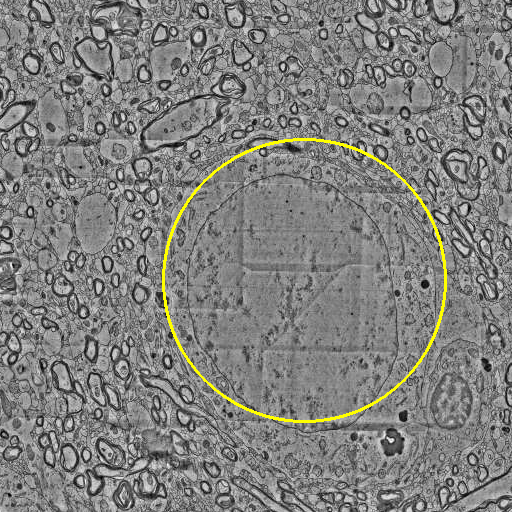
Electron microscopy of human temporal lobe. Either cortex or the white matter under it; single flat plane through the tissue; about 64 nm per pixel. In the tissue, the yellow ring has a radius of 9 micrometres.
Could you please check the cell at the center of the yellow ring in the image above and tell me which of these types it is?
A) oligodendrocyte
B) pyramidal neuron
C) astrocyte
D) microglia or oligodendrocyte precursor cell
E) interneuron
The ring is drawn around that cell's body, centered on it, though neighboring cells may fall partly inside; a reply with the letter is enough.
B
